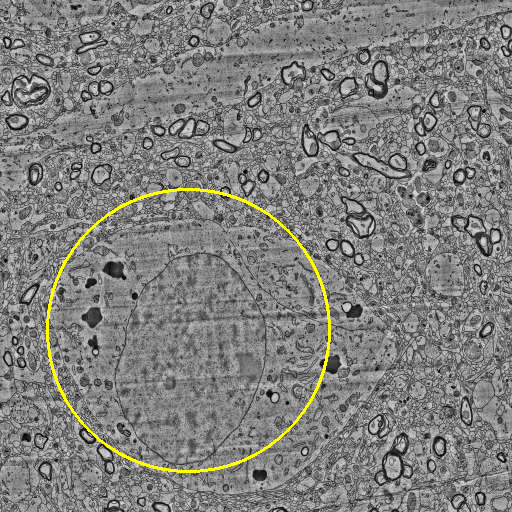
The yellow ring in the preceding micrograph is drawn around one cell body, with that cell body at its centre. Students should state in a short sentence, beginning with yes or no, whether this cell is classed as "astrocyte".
No, this cell is of another type.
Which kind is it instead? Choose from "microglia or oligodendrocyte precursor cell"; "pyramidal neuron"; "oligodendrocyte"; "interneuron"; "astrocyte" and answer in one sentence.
Instead, the cell at the centre of the ring is a pyramidal neuron.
